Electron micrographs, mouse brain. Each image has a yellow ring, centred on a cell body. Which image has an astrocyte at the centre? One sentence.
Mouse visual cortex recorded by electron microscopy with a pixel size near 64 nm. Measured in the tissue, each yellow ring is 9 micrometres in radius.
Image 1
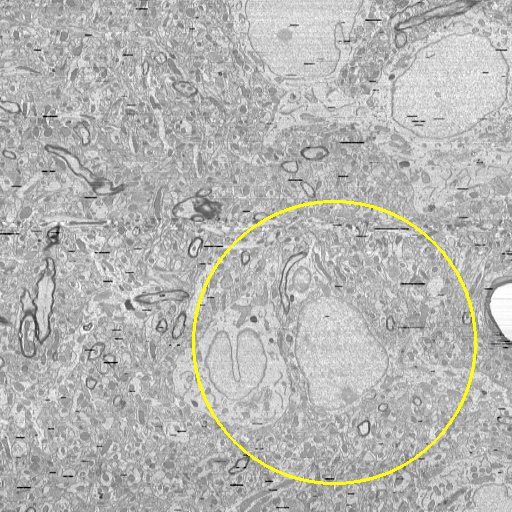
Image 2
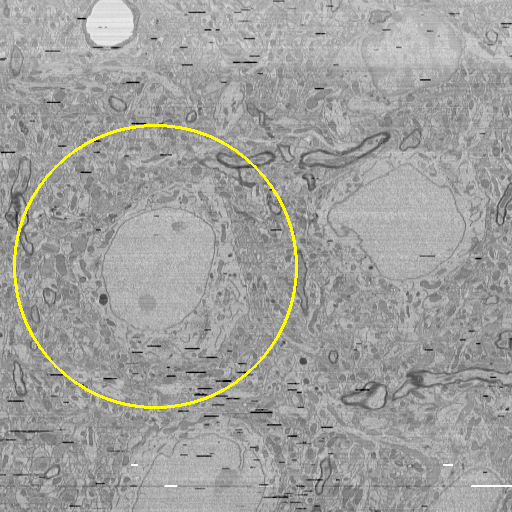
The ring in Image 1 is centred on it.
